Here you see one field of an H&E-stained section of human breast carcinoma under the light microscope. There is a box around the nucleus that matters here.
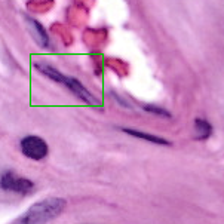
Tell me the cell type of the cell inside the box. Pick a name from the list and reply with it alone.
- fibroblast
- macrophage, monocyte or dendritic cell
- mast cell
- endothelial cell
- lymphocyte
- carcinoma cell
endothelial cell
